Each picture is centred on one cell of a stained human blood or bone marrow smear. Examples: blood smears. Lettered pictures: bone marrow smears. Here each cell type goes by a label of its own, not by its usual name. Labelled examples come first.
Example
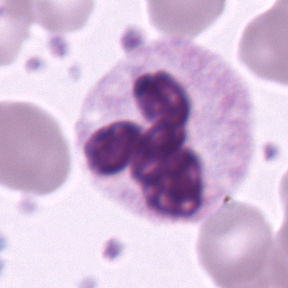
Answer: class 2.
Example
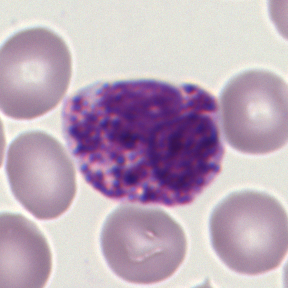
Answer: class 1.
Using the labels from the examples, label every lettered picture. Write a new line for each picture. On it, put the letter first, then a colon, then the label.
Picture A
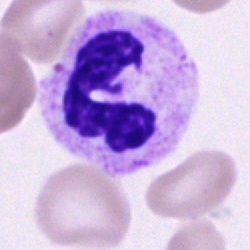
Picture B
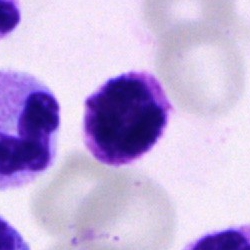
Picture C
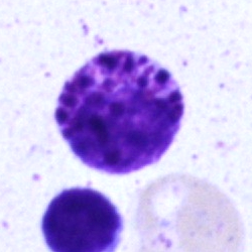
A: class 2.
B: class 1.
C: class 1.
